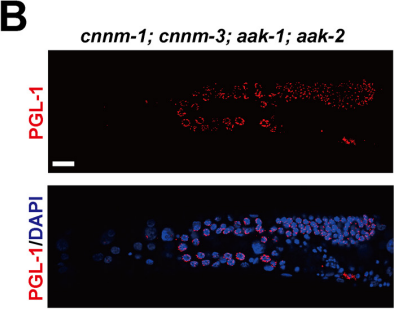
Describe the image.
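Here we look at the gonad of a worm full of germ cells. In the upper image only the red channel is shown: fine red granules sit in small rings, each ring hugging the edge of a round nucleus, and these rings crowd the middle and right of the field by the dozens. In the lower, merged image the blue nuclei appear; the germ cell nuclei lie tightly packed, each outlined by its red granules at the nuclear rim. Toward the left, scattered blue nuclei have no red granules around them; these belong to surrounding body cells rather than the germ line.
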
